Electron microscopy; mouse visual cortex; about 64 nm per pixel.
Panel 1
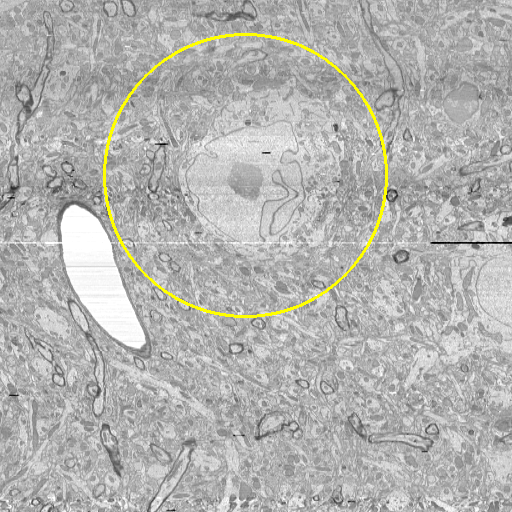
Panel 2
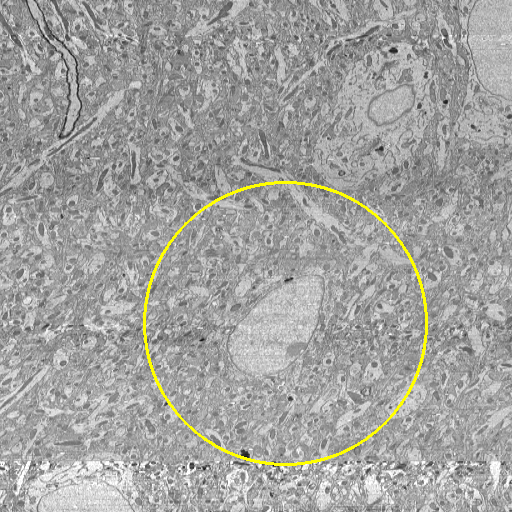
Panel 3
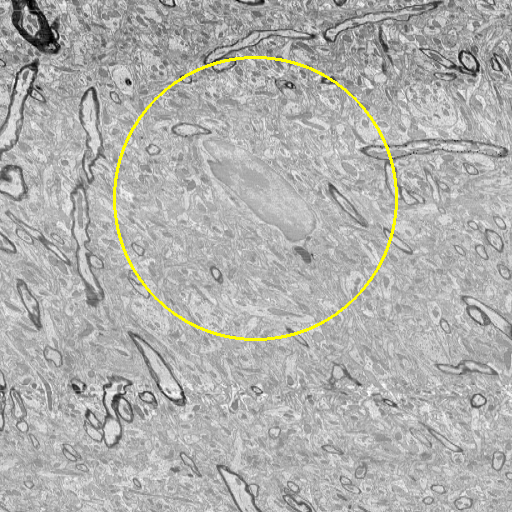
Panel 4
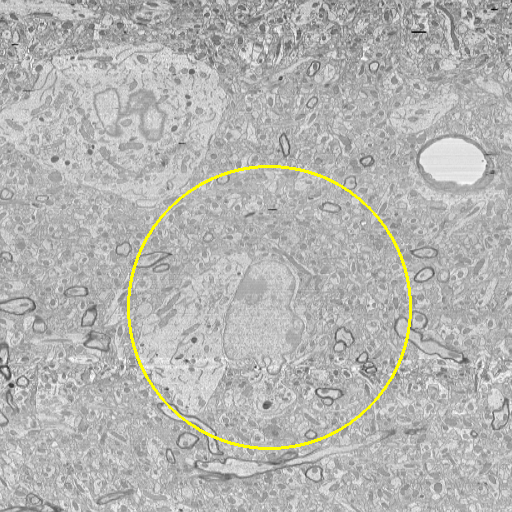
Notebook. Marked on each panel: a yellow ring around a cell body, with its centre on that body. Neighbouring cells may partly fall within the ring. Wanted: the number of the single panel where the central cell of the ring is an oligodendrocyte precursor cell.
4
